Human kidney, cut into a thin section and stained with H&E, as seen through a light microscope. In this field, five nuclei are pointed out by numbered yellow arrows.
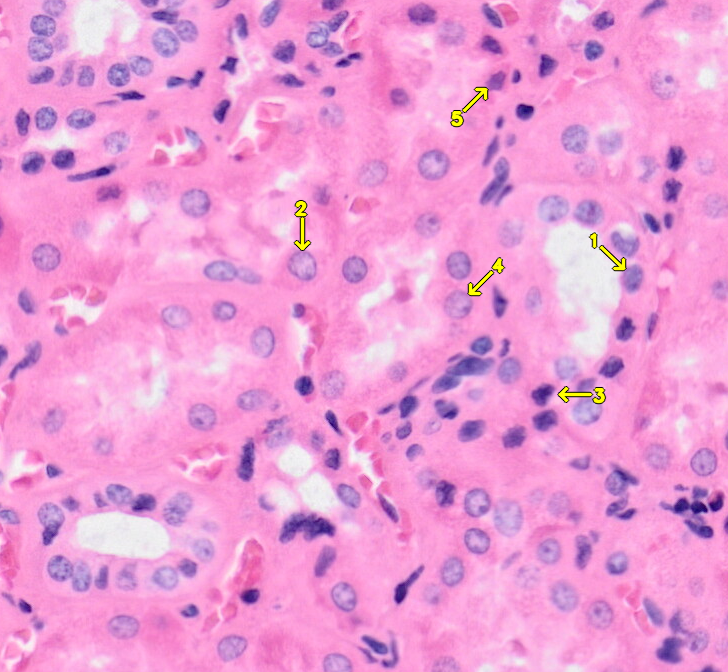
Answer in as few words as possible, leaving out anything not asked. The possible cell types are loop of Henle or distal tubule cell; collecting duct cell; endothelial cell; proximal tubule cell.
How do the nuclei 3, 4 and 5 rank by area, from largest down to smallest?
4, 3, 5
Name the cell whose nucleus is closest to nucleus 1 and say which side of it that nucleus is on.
a loop of Henle or distal tubule cell, above nucleus 1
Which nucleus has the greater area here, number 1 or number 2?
2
